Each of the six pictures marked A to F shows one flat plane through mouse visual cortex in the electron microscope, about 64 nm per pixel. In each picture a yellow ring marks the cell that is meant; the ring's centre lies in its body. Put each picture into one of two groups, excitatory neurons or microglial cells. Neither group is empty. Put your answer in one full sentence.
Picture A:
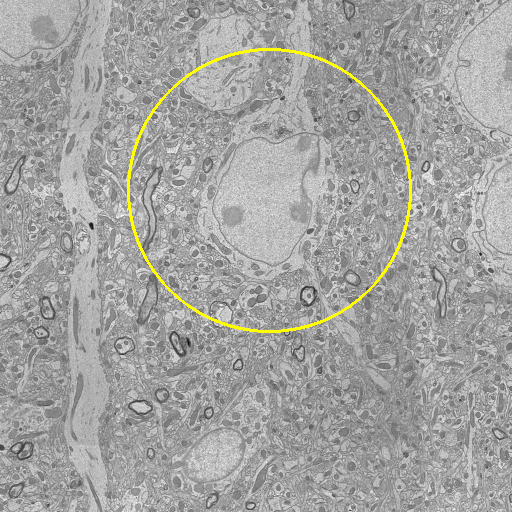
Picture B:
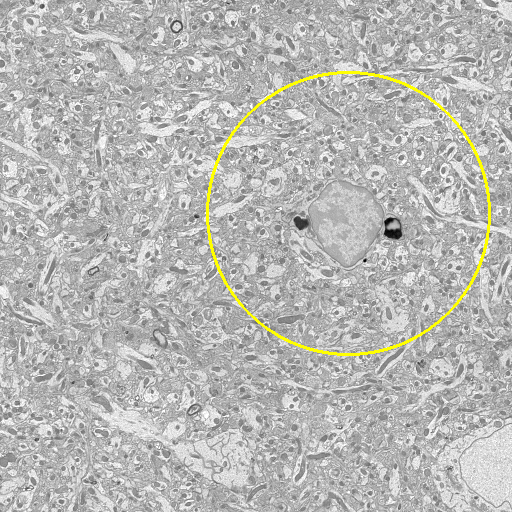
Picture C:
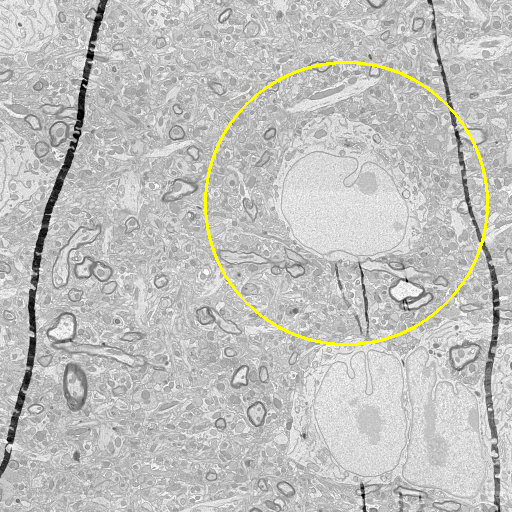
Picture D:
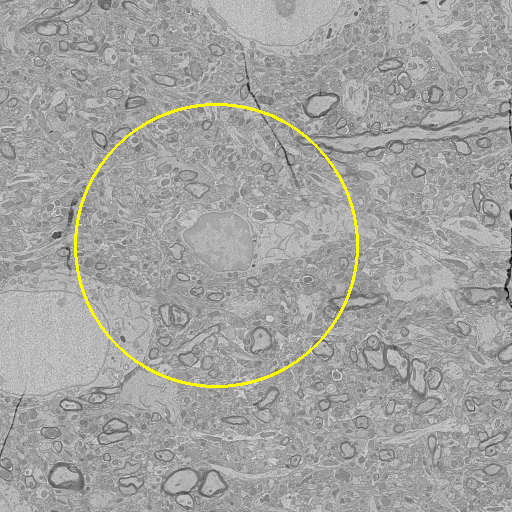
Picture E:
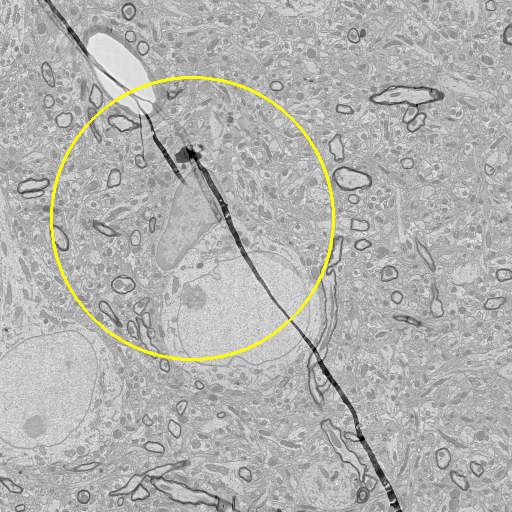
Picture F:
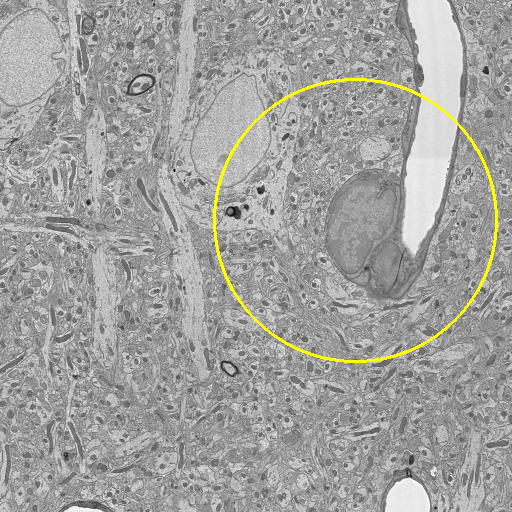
Pictures A and C show excitatory neurons; pictures B, D, E and F show microglial cells.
